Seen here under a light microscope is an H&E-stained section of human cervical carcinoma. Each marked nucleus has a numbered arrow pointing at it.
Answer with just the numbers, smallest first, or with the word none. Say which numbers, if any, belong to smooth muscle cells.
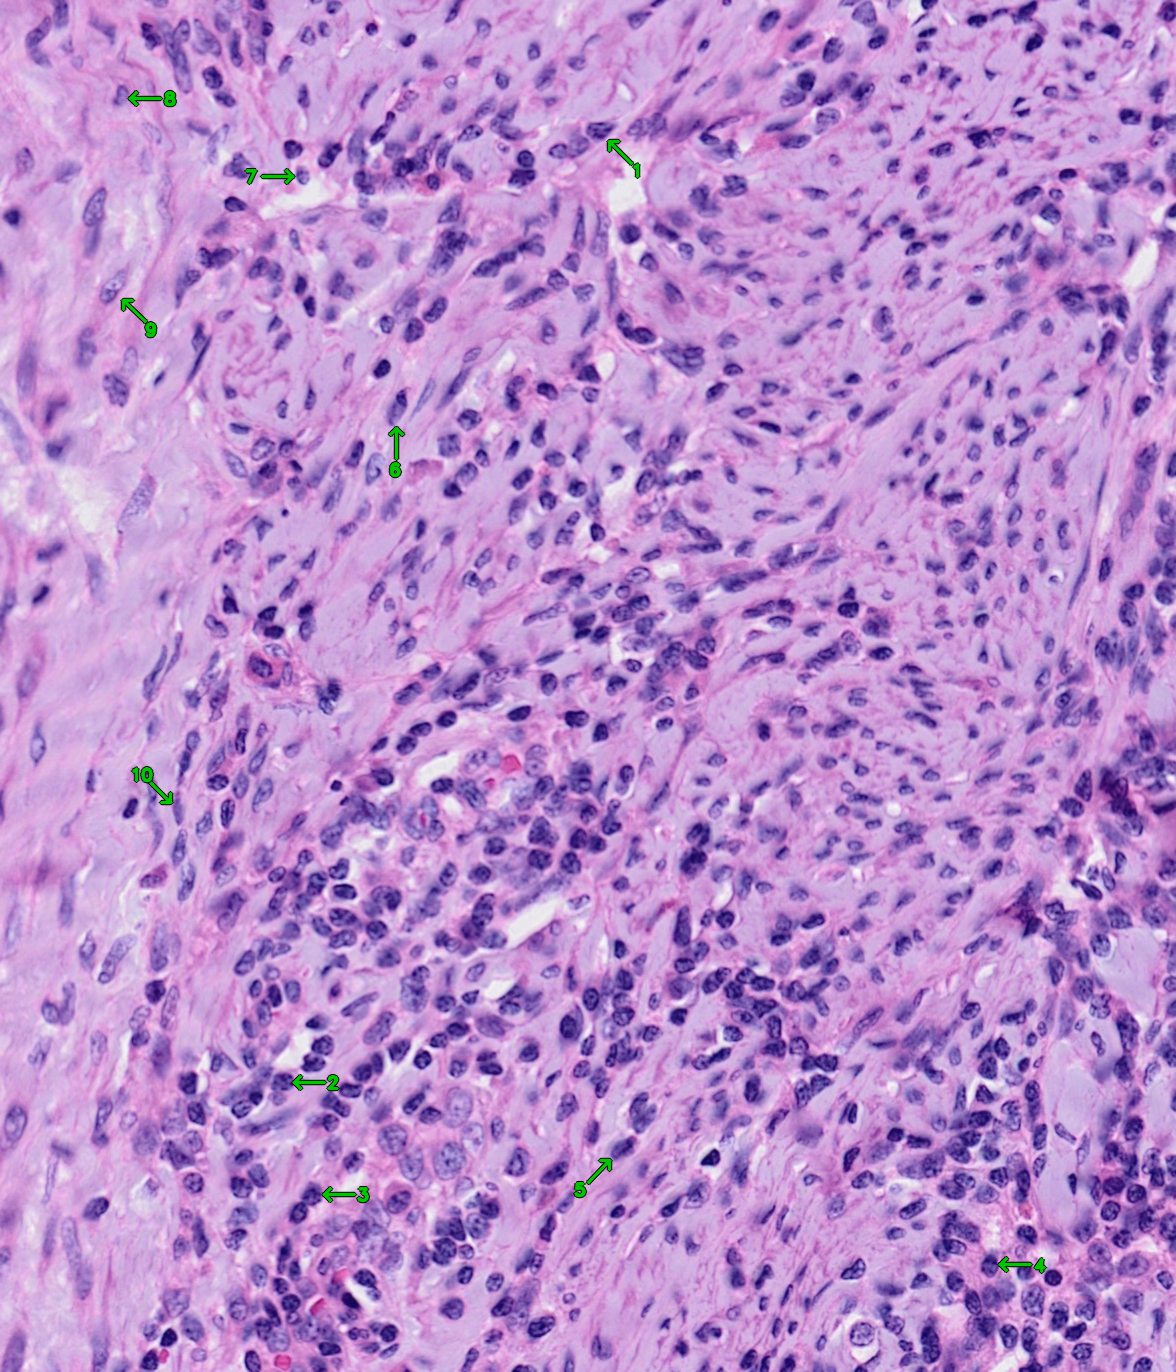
8, 9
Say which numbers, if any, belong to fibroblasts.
6, 10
